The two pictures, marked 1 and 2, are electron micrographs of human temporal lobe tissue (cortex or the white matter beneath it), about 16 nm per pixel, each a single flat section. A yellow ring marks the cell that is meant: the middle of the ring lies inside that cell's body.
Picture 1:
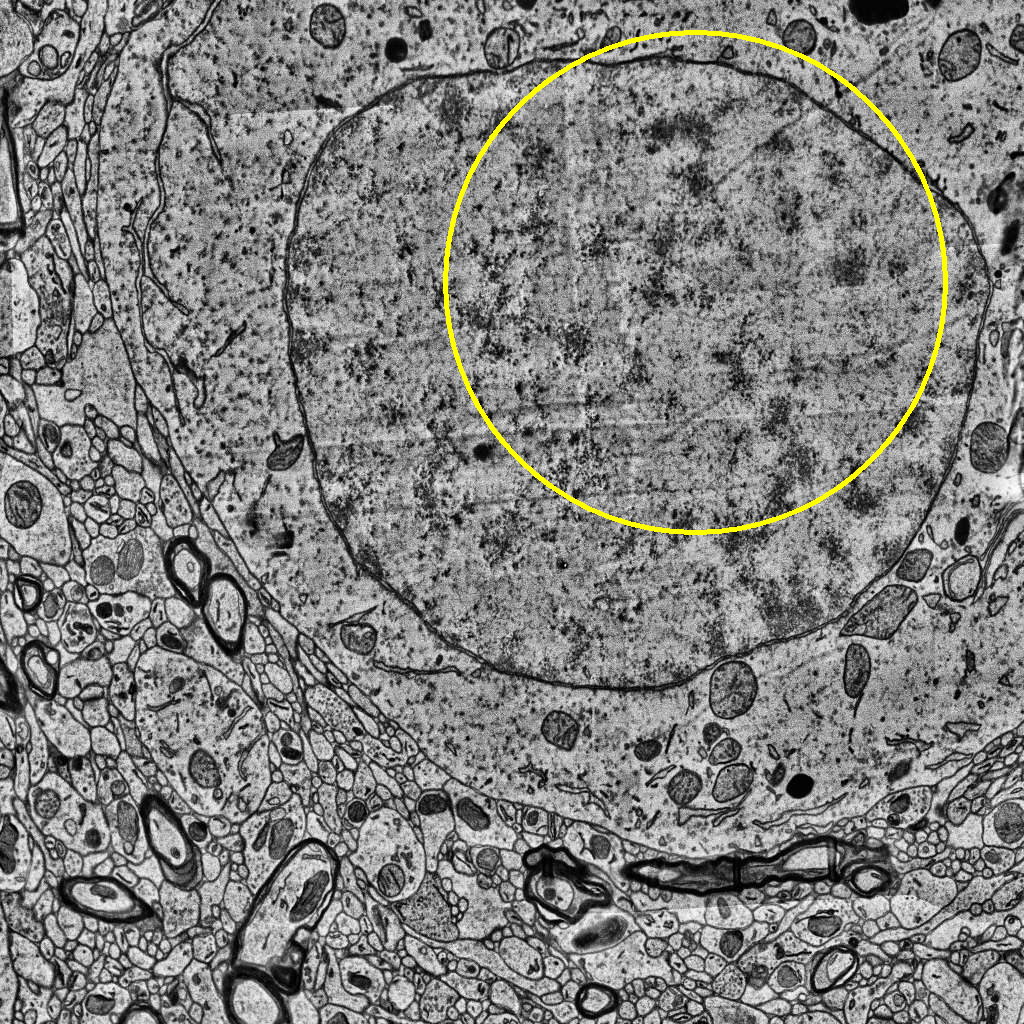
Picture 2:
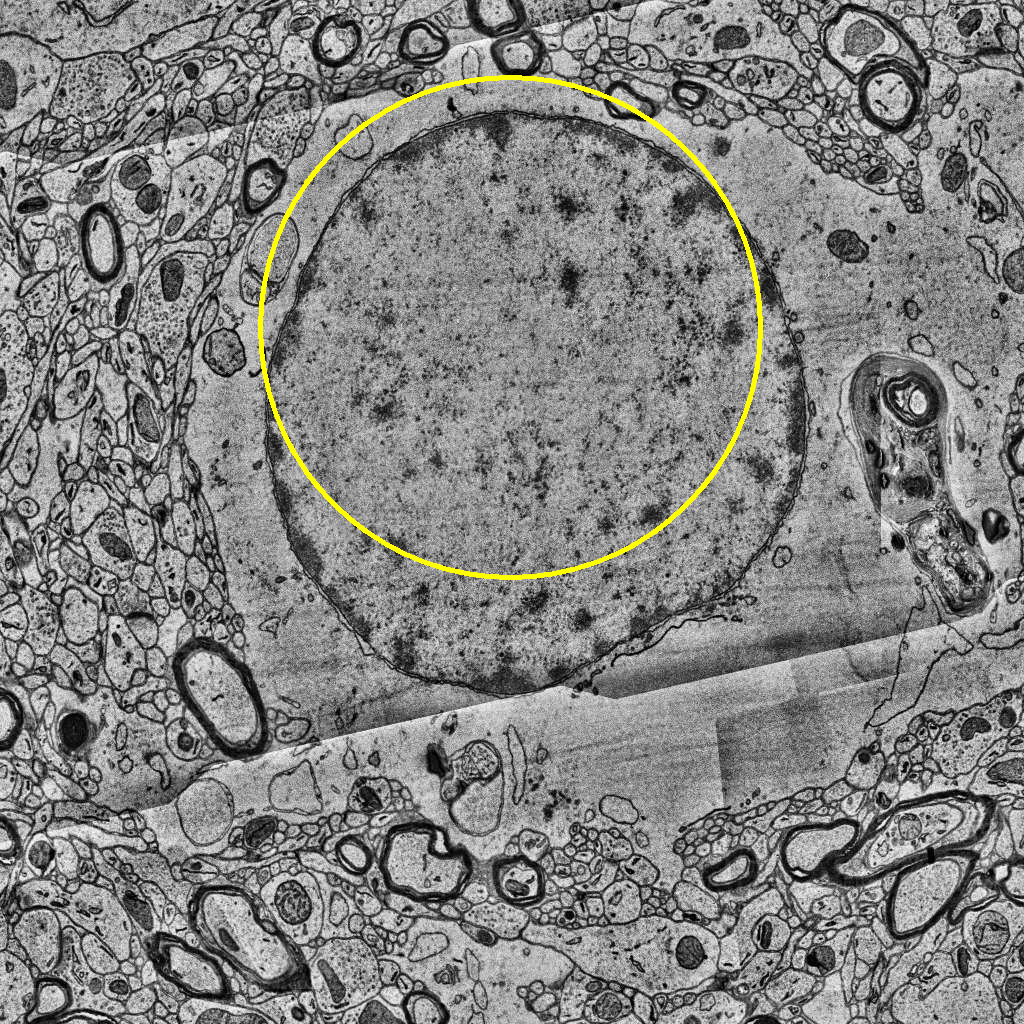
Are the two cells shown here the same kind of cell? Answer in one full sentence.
No; the cell in picture 1 is a pyramidal neuron, while the one in picture 2 is an astrocyte.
